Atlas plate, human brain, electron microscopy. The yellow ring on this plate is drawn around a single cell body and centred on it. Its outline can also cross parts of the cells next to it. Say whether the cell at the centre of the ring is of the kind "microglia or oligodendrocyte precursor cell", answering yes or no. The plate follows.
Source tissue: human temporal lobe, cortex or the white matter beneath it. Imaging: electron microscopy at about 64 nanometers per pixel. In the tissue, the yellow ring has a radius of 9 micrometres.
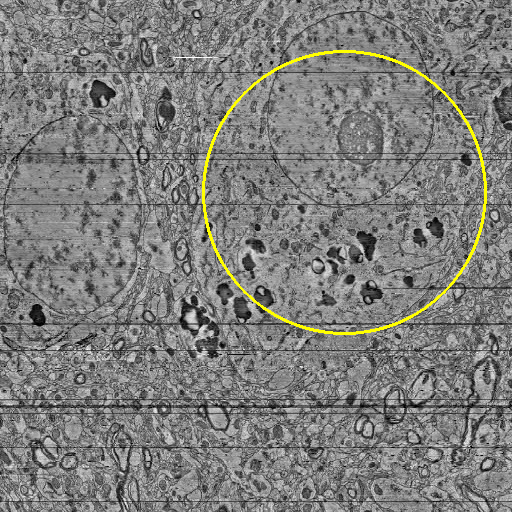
No, the cell is of another kind.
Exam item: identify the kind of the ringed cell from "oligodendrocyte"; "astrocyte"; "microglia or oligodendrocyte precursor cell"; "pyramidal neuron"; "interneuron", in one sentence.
At the centre of the ring sits a pyramidal neuron.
